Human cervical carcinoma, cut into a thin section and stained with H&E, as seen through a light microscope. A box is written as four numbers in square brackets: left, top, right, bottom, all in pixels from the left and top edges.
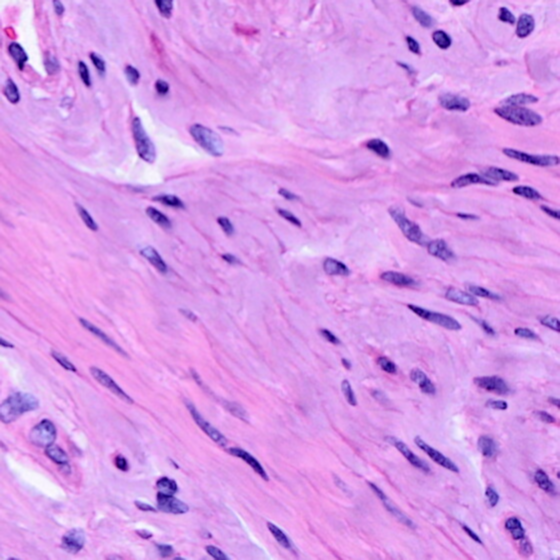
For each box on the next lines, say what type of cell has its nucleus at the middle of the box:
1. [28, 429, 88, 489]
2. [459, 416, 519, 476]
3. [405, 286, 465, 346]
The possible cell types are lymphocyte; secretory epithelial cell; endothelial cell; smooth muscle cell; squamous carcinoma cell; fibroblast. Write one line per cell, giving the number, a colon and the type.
1: endothelial cell
2: fibroblast
3: fibroblast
